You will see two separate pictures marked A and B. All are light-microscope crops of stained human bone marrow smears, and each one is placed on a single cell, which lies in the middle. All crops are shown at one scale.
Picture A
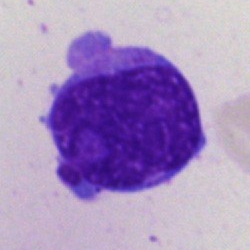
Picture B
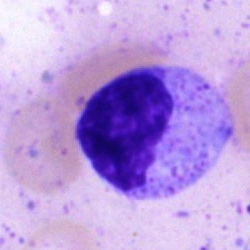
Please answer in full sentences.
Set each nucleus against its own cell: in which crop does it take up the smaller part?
It is the cell in picture B that is filled less by its nucleus.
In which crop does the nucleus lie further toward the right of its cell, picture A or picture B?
In picture A the nucleus is shifted more toward the right.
